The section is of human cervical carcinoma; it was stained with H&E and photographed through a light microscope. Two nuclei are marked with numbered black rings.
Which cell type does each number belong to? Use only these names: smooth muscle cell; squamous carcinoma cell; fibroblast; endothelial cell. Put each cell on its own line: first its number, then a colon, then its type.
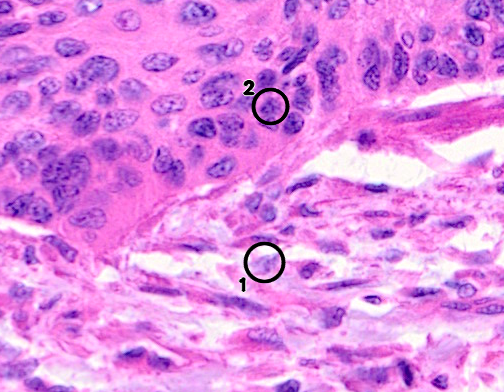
1: fibroblast
2: squamous carcinoma cell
